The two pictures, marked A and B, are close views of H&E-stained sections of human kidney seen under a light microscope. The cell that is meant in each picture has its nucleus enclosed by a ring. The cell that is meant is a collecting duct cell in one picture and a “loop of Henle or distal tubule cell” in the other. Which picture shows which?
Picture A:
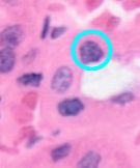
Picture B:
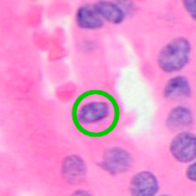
A: loop of Henle or distal tubule cell
B: collecting duct cell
